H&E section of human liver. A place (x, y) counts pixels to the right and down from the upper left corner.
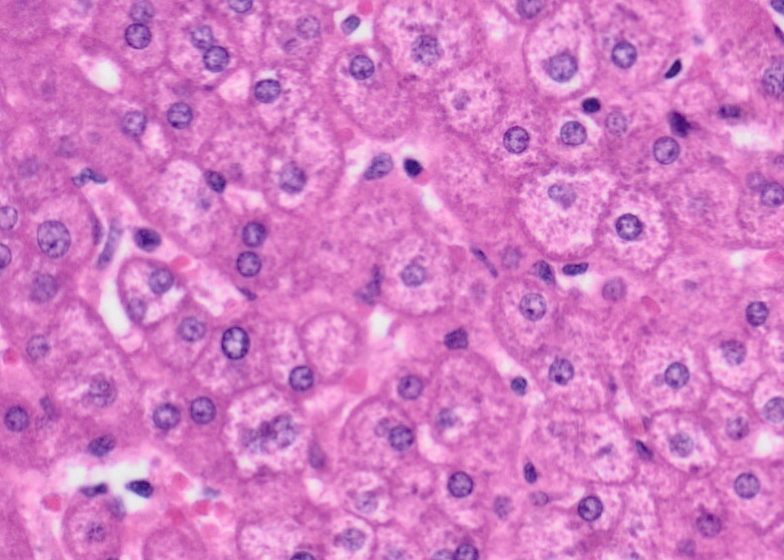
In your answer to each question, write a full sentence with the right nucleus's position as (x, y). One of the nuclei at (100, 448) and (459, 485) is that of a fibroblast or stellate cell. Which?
The nucleus at (100, 448) is identified as belonging to a fibroblast or stellate cell.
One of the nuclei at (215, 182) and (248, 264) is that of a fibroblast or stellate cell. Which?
The nucleus at (215, 182) is identified as belonging to a fibroblast or stellate cell.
